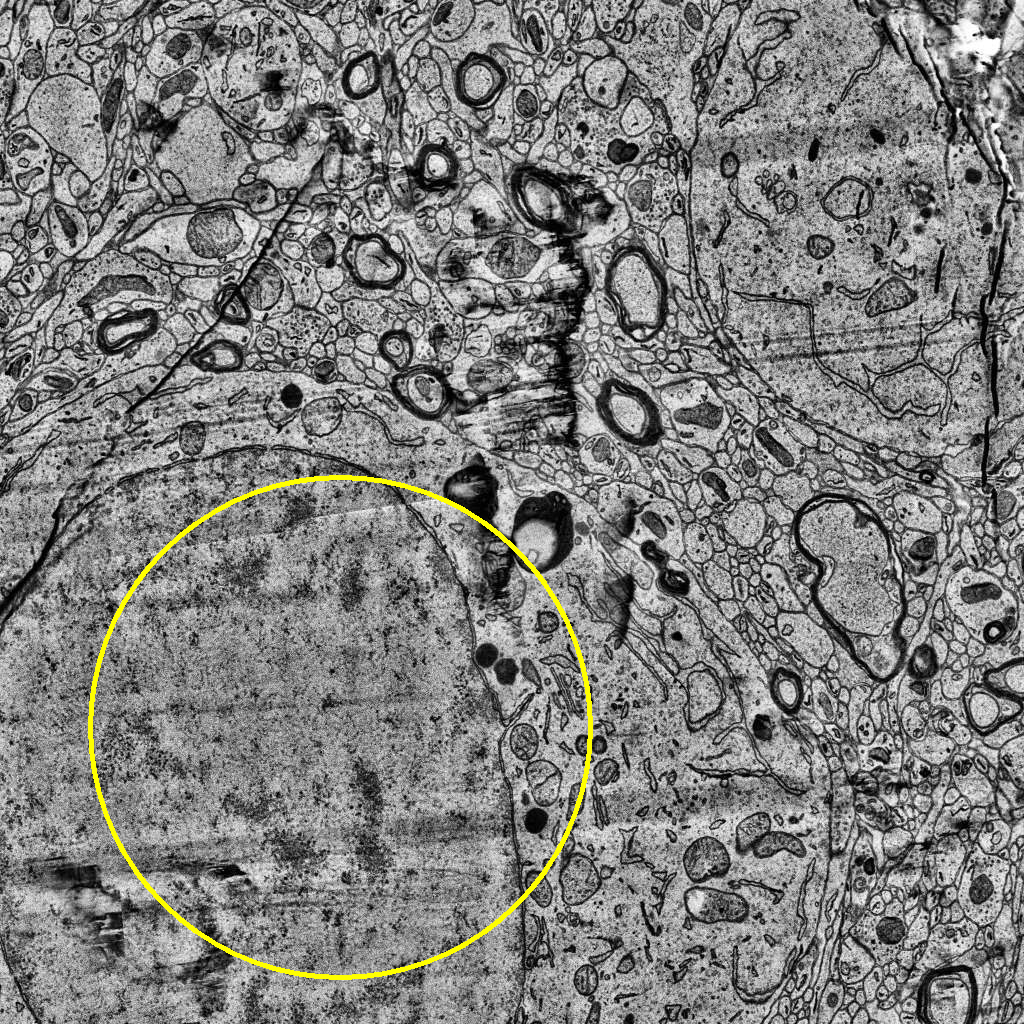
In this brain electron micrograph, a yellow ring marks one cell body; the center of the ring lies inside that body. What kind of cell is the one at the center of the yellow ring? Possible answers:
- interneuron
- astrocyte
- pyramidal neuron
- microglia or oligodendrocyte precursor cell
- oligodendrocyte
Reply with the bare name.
pyramidal neuron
